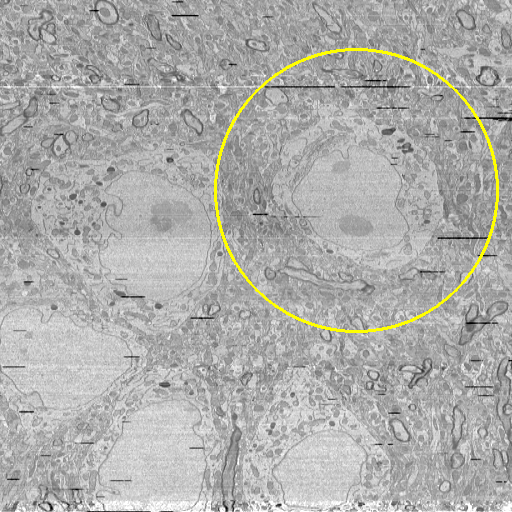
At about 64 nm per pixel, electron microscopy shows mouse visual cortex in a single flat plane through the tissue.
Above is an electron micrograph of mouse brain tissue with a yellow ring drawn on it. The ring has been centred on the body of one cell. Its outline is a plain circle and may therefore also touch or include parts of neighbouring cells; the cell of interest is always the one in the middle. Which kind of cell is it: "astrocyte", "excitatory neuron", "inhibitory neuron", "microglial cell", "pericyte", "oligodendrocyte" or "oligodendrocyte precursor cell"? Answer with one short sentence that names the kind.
The ring's central cell body is that of an excitatory neuron.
